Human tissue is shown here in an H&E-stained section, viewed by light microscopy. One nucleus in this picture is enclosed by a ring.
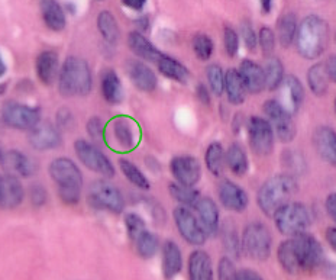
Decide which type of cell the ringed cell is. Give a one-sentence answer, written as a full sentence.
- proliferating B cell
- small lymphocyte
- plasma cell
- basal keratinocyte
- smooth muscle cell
What the ringed cell represents is a basal keratinocyte.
